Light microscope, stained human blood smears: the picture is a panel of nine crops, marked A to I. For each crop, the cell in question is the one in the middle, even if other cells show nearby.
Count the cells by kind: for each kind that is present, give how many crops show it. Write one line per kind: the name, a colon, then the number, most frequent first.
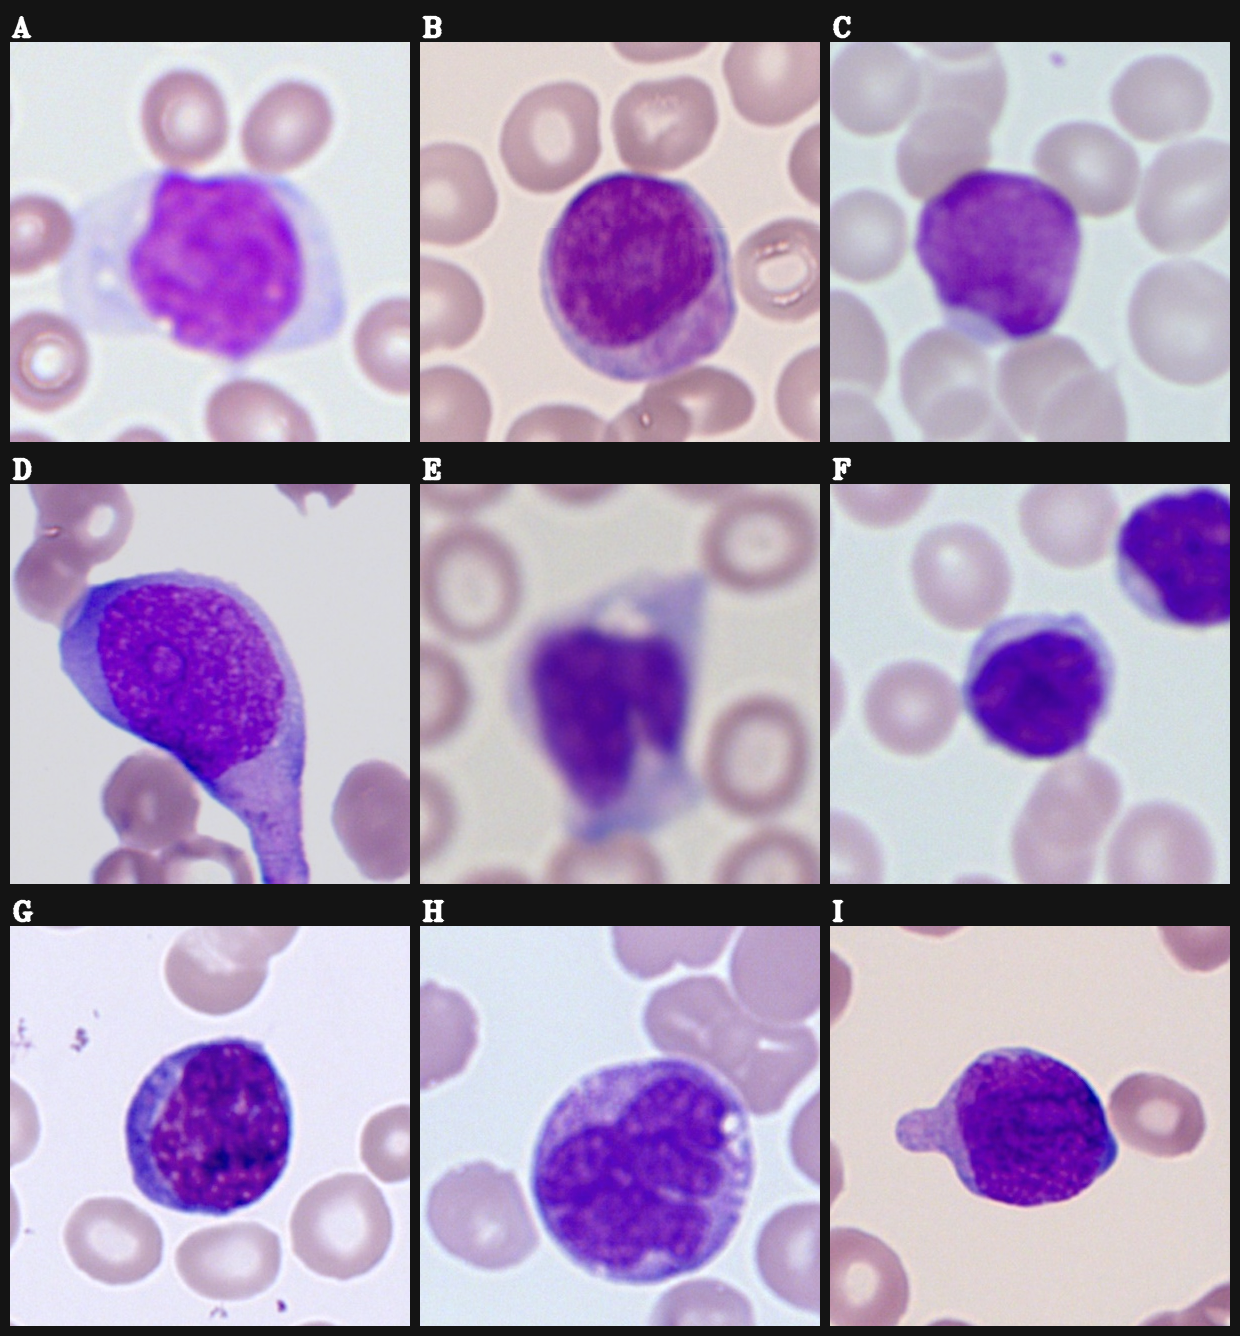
myeloblast: 5
monocyte: 3
lymphocyte: 1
